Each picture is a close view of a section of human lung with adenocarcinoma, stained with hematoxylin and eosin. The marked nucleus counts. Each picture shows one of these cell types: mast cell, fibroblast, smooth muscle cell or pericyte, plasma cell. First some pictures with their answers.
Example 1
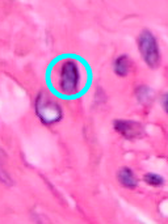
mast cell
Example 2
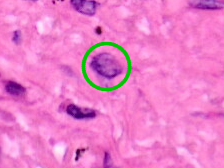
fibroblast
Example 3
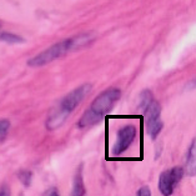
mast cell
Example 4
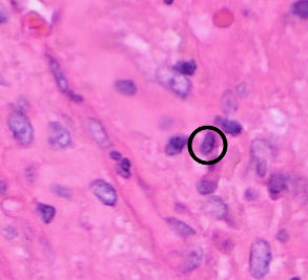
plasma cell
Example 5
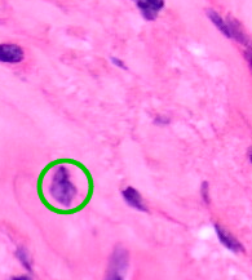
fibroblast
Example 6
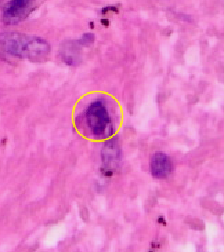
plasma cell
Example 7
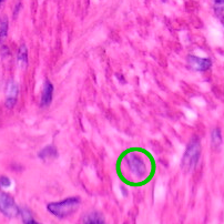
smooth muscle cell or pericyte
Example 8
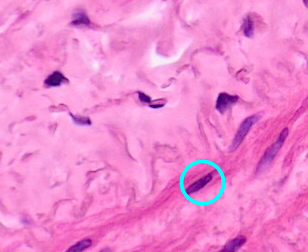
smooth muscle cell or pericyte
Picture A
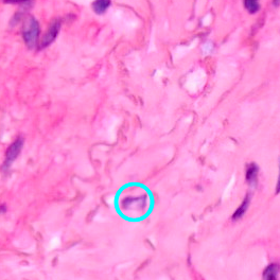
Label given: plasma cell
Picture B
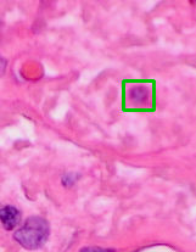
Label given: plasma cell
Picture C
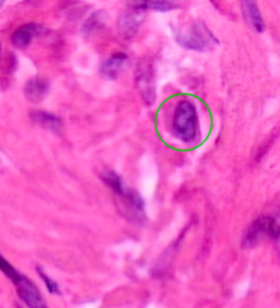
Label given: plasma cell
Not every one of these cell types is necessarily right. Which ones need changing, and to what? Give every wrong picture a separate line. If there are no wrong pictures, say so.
Wrong: A (plasma cell); correct: fibroblast
Wrong: B (plasma cell); correct: mast cell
